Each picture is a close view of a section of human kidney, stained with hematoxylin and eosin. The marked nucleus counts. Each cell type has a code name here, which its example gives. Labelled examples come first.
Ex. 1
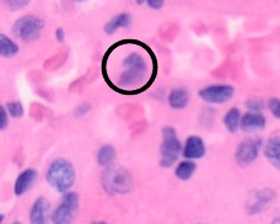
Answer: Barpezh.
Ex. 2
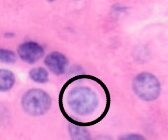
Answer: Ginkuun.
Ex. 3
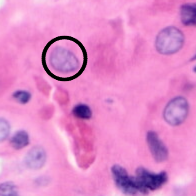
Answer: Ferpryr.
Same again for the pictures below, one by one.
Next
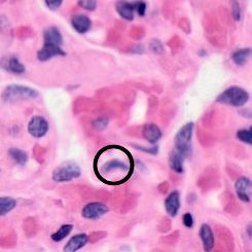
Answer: Barpezh.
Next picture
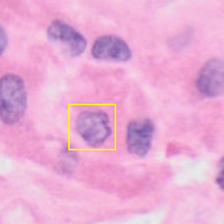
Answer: Ferpryr.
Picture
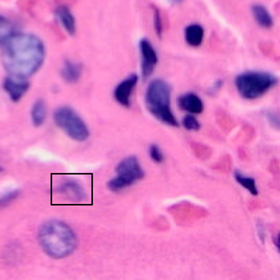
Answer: Ginkuun.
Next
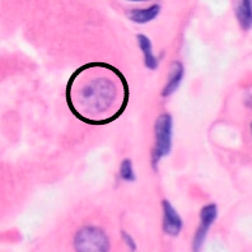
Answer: Ferpryr.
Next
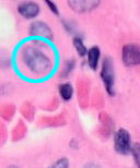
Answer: Ginkuun.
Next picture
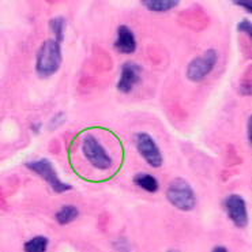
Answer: Barpezh.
